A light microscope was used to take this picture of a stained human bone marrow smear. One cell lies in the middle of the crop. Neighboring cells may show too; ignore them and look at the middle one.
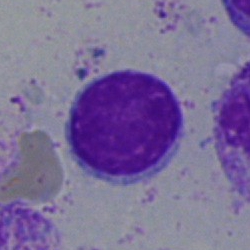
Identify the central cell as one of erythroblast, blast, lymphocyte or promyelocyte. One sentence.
The middle cell in this particular crop is a lymphocyte.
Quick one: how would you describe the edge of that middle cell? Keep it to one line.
Edge check done: smooth outline, no projections present.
